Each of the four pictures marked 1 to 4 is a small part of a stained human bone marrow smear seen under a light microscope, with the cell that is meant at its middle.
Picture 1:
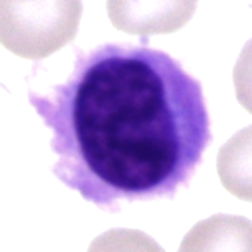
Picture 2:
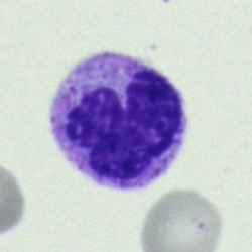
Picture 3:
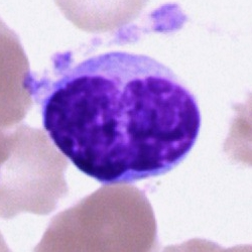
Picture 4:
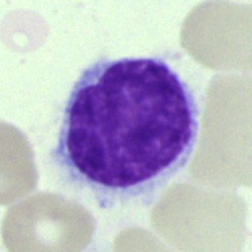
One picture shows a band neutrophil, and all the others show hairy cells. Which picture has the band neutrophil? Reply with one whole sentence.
The band neutrophil is the one in picture 2.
